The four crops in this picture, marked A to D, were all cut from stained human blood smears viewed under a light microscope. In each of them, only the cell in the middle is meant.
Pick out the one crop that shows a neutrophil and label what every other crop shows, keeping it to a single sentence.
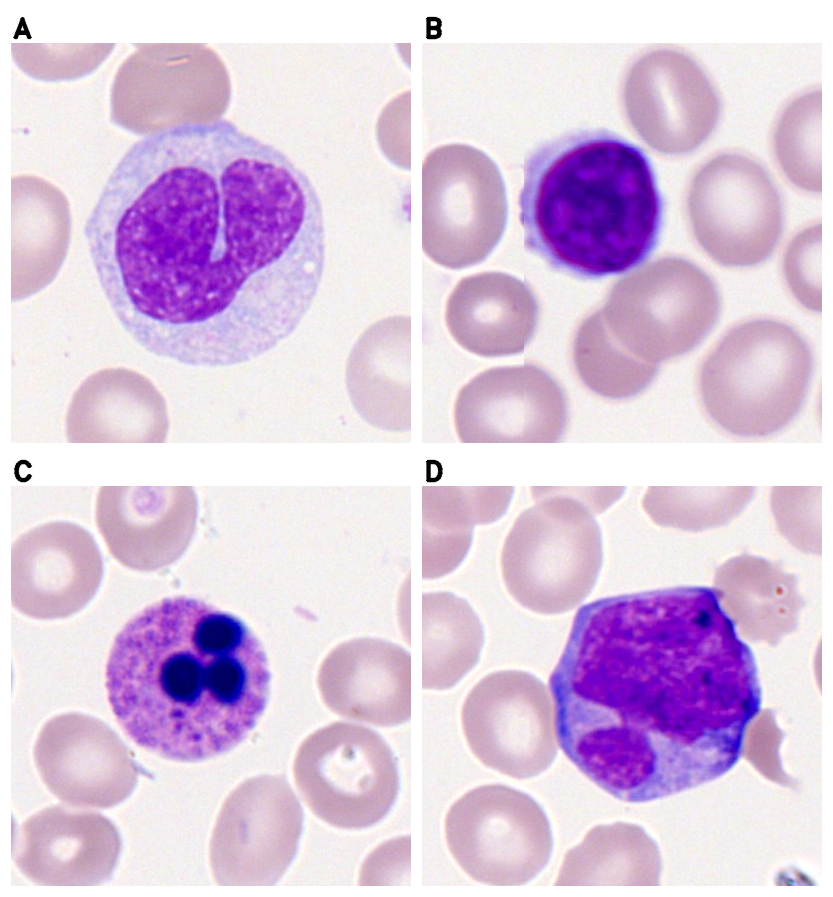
Crop C represents a neutrophil, while crop A is a monocyte, crop B is a lymphocyte and crop D is a blast.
